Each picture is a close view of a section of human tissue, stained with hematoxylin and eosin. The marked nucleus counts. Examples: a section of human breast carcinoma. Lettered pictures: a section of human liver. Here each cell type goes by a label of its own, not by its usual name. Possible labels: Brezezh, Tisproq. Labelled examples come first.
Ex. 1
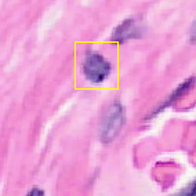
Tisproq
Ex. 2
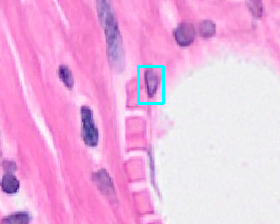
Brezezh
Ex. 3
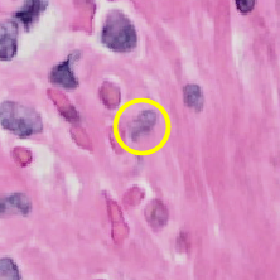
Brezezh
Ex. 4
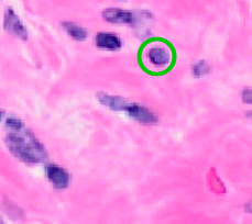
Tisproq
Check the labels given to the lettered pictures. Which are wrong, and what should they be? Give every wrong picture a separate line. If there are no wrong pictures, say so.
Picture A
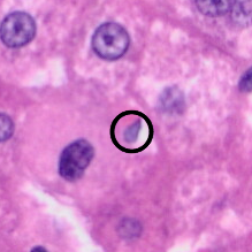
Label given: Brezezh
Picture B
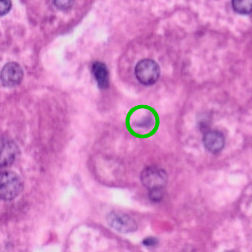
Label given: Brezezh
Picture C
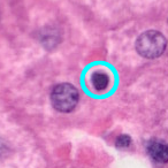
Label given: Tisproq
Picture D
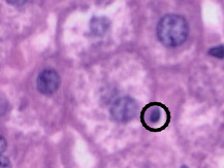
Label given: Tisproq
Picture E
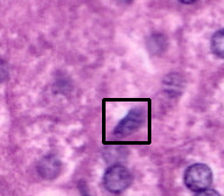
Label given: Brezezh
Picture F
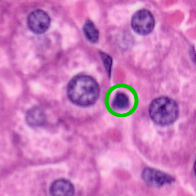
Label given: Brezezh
F: not Brezezh but Tisproq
